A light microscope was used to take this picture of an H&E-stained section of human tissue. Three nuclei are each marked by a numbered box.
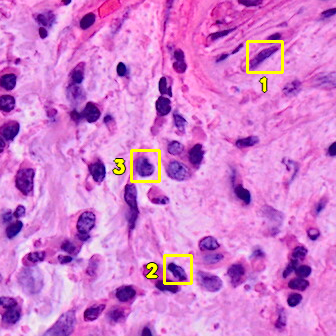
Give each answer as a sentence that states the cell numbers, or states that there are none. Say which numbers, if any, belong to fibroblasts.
In short, cell 1 is a fibroblast; the others are not.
